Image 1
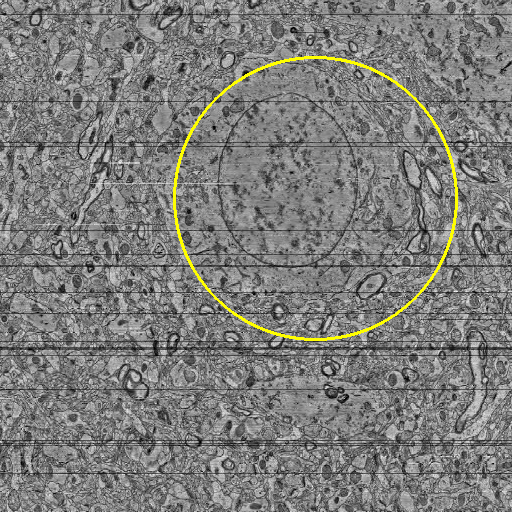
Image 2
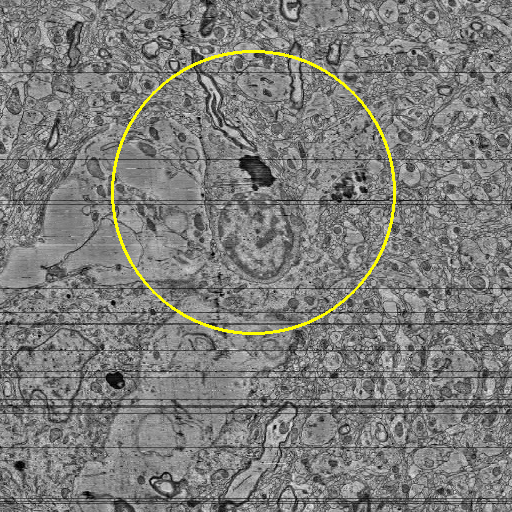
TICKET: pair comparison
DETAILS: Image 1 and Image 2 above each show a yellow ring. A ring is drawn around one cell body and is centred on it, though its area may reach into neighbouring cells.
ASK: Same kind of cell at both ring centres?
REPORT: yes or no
no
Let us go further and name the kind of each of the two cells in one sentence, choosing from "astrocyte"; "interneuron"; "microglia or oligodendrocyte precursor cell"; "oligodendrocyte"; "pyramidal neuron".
The ring of the first picture is on a pyramidal neuron, the ring of the second on an oligodendrocyte.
